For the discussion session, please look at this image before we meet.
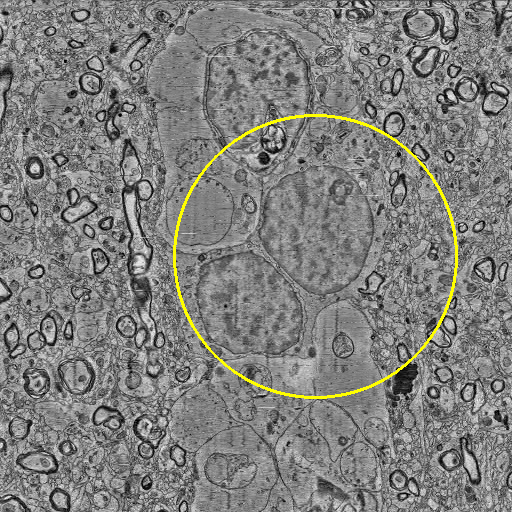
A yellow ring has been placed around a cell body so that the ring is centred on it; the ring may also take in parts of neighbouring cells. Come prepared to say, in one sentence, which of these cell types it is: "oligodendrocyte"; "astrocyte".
The cell centred in the ring is an oligodendrocyte.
